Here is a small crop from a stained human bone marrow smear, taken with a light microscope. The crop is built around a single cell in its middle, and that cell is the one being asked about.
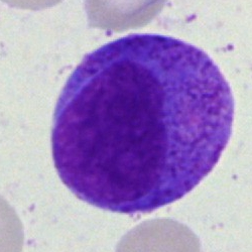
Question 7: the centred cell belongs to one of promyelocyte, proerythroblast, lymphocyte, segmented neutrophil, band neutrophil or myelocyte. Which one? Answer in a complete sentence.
The cell sitting right in the middle is a promyelocyte.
